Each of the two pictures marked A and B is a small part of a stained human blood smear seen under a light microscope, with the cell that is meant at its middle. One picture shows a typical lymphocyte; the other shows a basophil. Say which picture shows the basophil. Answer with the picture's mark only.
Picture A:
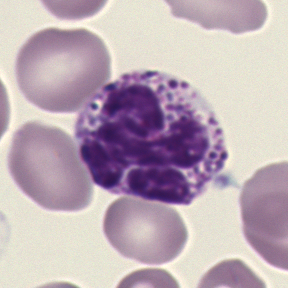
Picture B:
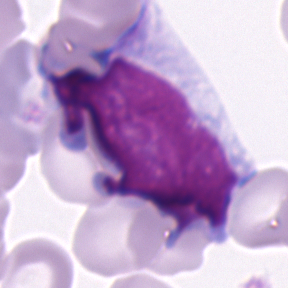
A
